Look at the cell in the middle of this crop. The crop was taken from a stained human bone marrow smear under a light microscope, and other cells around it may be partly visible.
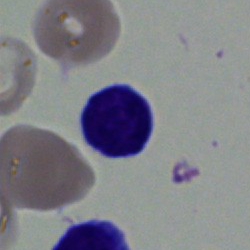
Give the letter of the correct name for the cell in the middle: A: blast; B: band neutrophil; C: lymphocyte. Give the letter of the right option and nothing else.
C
